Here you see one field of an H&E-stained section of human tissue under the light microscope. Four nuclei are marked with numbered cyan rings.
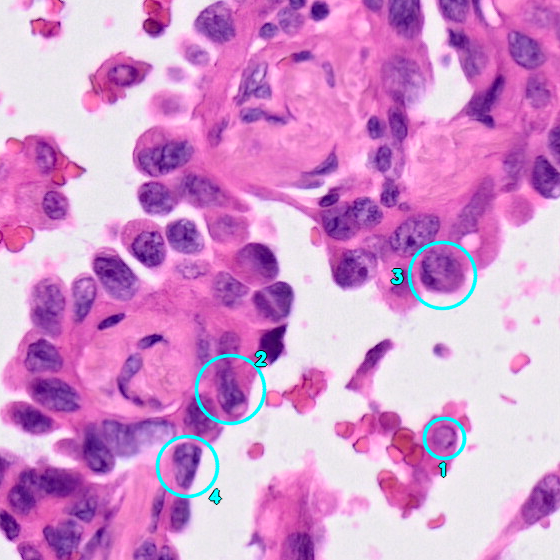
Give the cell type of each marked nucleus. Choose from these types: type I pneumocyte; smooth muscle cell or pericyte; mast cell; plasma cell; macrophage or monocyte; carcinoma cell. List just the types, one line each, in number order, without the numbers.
macrophage or monocyte
carcinoma cell
carcinoma cell
carcinoma cell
